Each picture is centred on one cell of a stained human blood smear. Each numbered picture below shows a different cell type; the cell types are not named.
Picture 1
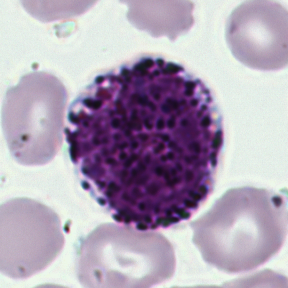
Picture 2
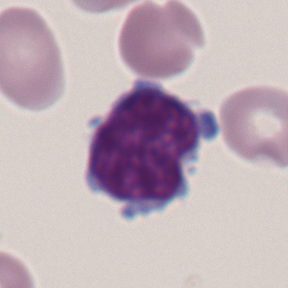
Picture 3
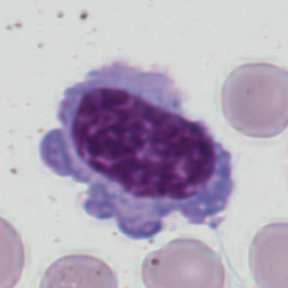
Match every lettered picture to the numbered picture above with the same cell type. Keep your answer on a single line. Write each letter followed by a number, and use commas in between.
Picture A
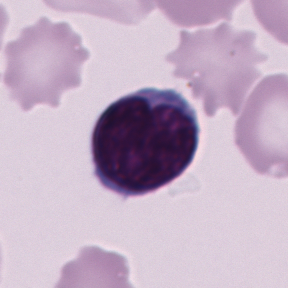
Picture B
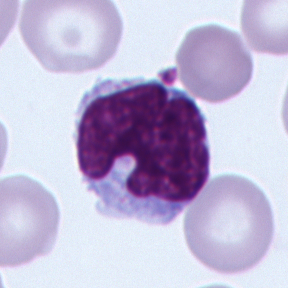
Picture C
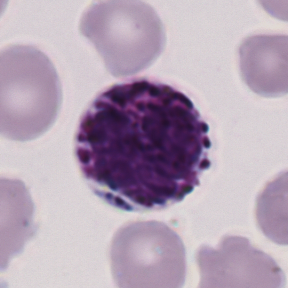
A 2, B 2, C 1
